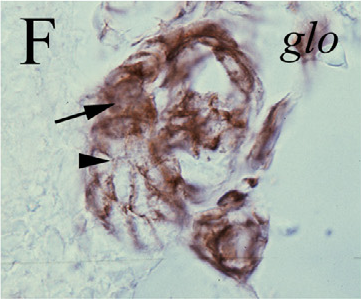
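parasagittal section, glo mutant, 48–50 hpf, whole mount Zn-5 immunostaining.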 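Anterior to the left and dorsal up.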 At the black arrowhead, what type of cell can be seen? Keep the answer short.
Myocardial cell with weak labeling on its cell membrane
